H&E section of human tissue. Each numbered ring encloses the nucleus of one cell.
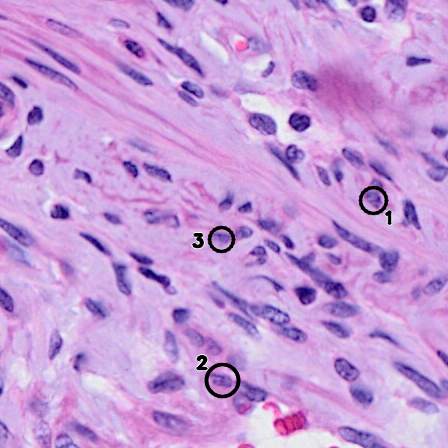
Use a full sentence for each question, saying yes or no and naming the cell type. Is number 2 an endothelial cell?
Yes, the cell referred to as number 2 is an endothelial cell.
